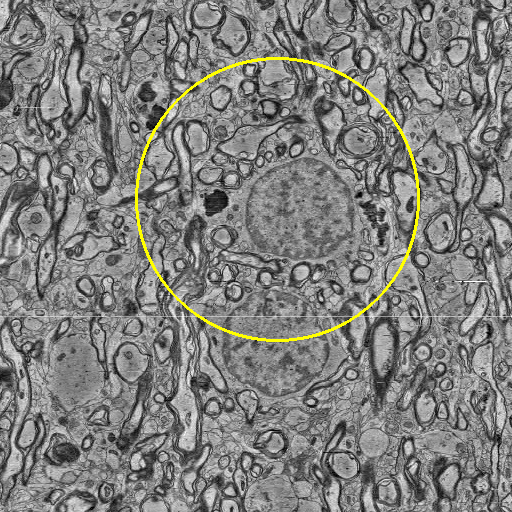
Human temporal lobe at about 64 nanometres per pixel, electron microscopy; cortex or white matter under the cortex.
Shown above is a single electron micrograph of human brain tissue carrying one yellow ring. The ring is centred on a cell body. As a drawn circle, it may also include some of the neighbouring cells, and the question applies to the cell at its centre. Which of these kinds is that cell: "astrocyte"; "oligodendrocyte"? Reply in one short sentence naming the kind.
The cell marked by the ring is an oligodendrocyte.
